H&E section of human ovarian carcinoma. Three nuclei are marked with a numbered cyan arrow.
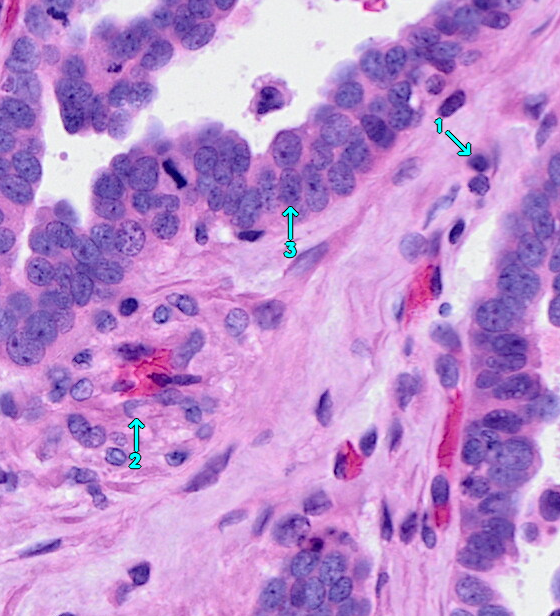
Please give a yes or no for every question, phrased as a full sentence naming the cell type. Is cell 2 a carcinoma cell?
No, the cell given the number 2 is an endothelial cell, so not a carcinoma cell.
